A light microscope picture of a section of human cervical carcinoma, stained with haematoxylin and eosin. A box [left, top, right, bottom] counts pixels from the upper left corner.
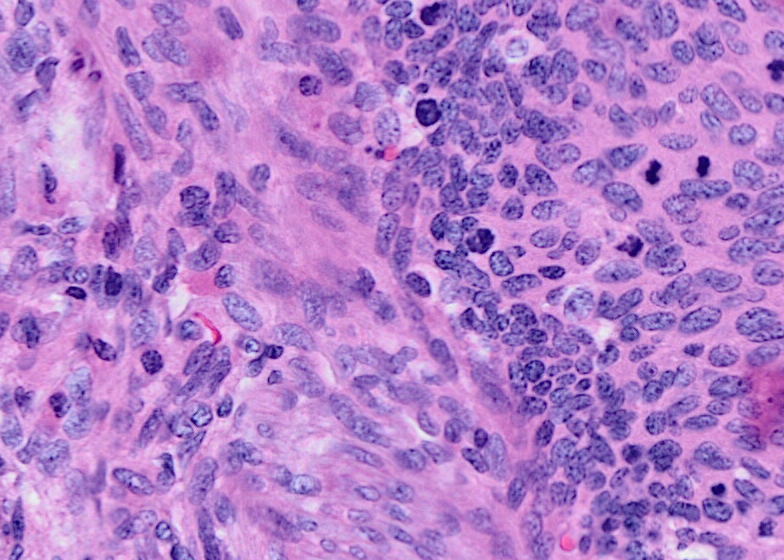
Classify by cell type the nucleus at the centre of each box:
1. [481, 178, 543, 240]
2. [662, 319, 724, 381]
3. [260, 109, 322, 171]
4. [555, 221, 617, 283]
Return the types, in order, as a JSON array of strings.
["squamous carcinoma cell", "squamous carcinoma cell", "fibroblast", "squamous carcinoma cell"]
